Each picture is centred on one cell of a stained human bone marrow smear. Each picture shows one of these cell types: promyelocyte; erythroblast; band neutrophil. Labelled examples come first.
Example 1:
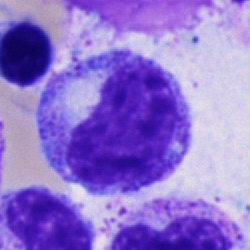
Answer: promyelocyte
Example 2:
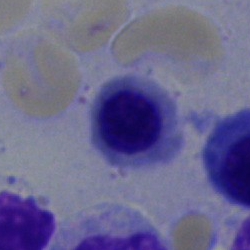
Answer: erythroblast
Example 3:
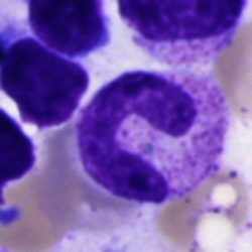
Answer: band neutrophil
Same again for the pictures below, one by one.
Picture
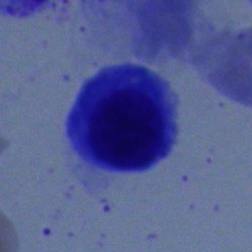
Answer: erythroblast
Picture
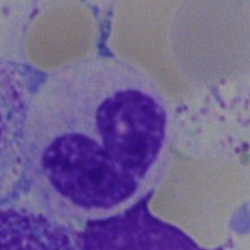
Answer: band neutrophil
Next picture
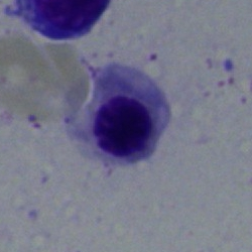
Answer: erythroblast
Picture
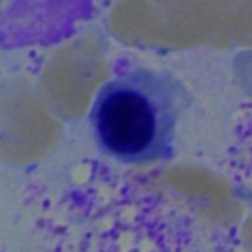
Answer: erythroblast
